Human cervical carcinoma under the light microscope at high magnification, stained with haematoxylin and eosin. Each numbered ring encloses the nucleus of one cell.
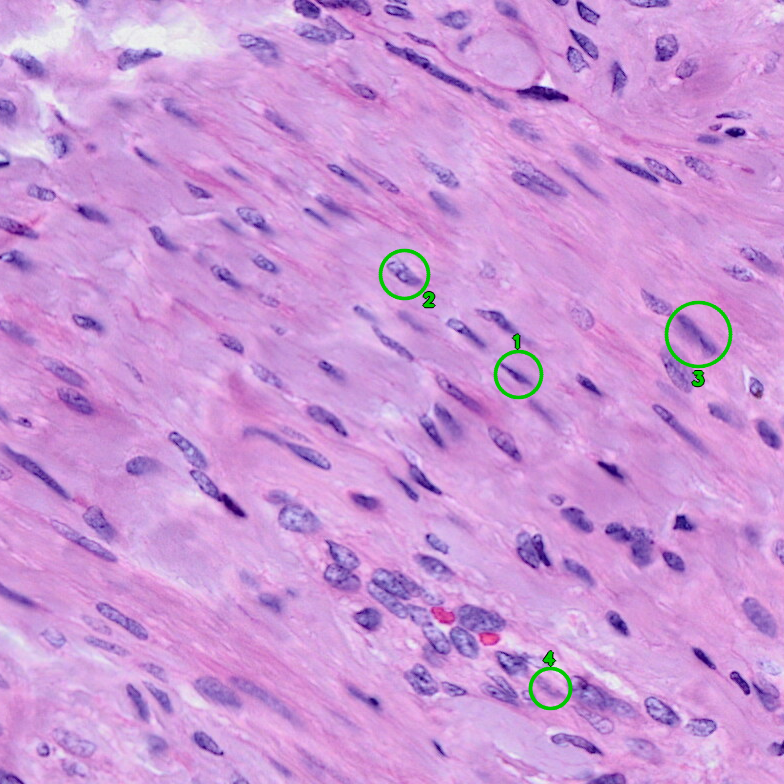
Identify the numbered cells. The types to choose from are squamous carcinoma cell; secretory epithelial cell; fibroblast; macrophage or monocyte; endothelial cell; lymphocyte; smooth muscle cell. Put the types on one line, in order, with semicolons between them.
fibroblast; fibroblast; fibroblast; endothelial cell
